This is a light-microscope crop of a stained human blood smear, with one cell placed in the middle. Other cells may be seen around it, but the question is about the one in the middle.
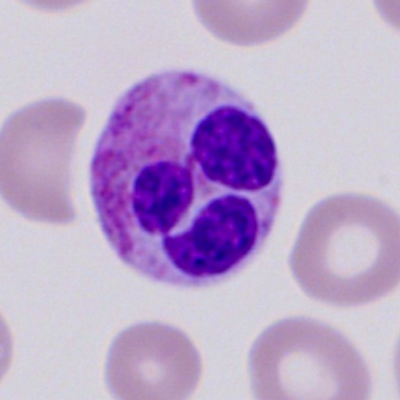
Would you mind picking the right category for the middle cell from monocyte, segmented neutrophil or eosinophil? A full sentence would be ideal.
Regarding the central cell, it is an eosinophil.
